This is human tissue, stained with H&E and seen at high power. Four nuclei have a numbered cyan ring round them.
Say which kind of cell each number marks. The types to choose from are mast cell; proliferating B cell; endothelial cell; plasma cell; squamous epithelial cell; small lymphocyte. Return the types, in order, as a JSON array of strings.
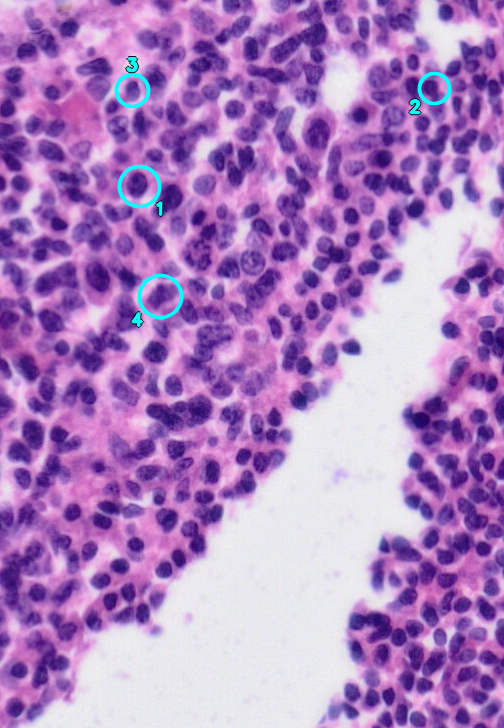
["proliferating B cell", "small lymphocyte", "proliferating B cell", "proliferating B cell"]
